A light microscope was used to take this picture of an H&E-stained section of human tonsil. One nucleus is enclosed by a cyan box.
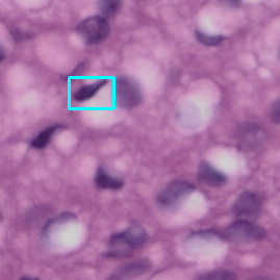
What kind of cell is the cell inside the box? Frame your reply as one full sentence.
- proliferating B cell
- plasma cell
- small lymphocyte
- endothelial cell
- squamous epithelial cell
So far as cell type goes, the cell inside the box is a squamous epithelial cell.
